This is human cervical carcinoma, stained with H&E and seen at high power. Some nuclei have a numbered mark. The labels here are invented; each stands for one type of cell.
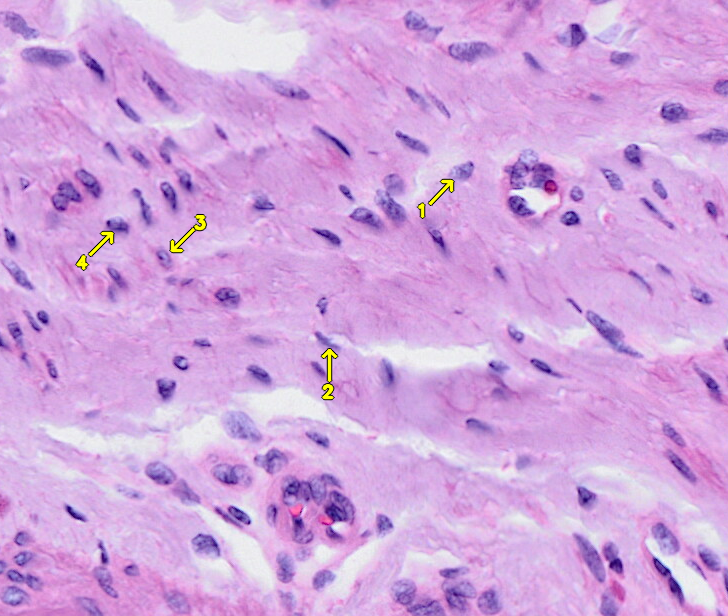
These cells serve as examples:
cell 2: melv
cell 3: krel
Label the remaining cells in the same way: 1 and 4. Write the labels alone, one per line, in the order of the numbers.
melv
melv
